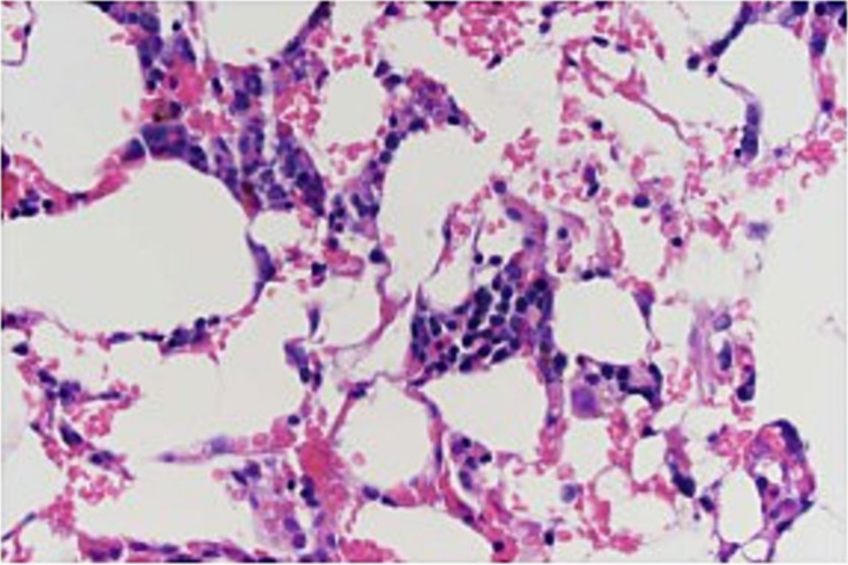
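This is a bone marrow section in which large, clear, rounded fat spaces take up much of the field. Between them lie only scattered small clusters of blood-forming cells with dark, round nuclei, set among many loose pink red blood cells.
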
